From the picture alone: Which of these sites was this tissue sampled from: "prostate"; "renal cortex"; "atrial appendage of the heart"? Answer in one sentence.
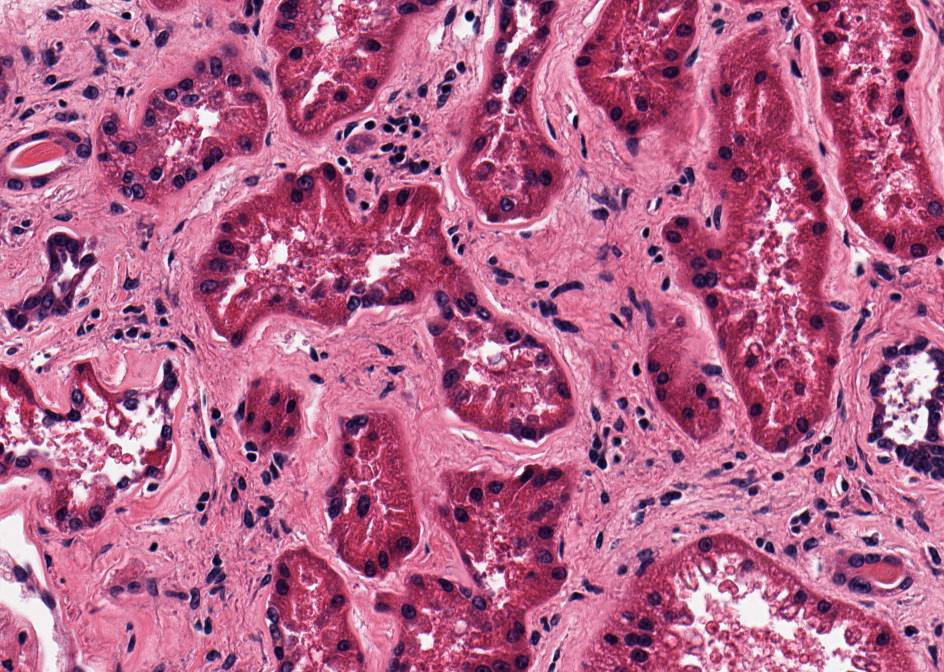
The site this tissue was sampled from is the renal cortex.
